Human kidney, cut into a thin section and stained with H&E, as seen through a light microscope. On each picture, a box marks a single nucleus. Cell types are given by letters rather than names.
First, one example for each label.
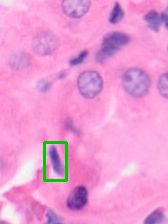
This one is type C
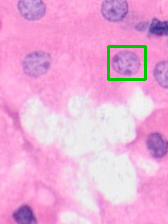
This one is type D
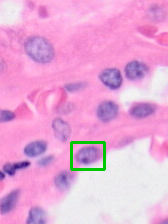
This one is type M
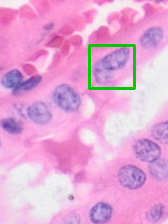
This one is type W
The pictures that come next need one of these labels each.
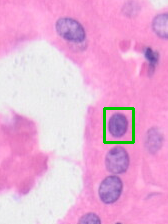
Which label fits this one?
type D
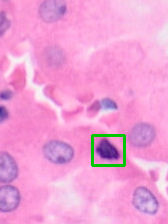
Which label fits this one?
type D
